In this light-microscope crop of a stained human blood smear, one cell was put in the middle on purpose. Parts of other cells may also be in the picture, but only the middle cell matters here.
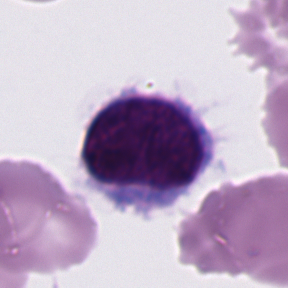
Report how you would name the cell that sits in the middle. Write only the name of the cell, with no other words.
hairy cell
